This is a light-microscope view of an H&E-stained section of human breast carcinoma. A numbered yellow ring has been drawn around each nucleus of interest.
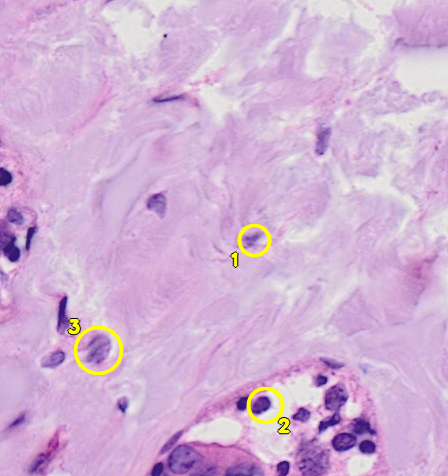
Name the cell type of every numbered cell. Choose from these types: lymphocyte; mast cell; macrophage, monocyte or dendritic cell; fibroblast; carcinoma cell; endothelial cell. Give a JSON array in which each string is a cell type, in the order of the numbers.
["fibroblast", "lymphocyte", "fibroblast"]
